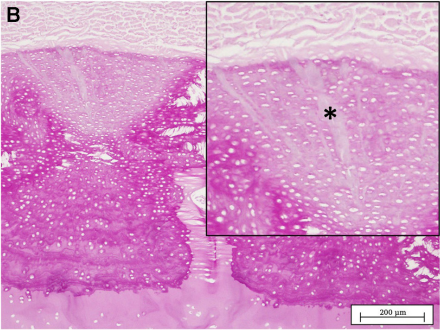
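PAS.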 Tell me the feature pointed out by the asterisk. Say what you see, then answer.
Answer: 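Sharpey's fibers. Fibre streaks run from the outer fibrous layer into the outer part of the cartilage block. Streaks are paler than the surrounding cell-rich matrix.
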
